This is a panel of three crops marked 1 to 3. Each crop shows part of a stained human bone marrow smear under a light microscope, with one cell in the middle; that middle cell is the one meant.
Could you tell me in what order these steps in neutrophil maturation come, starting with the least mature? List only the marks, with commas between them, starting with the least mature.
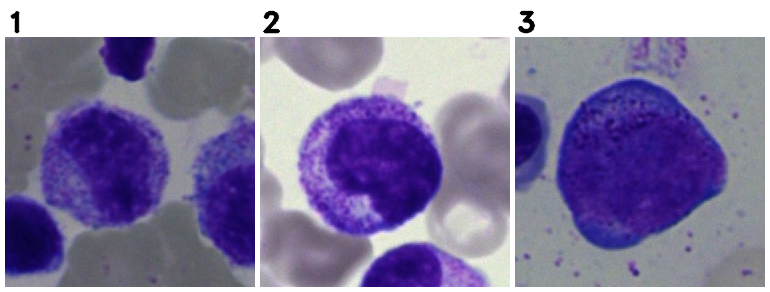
3, 1, 2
